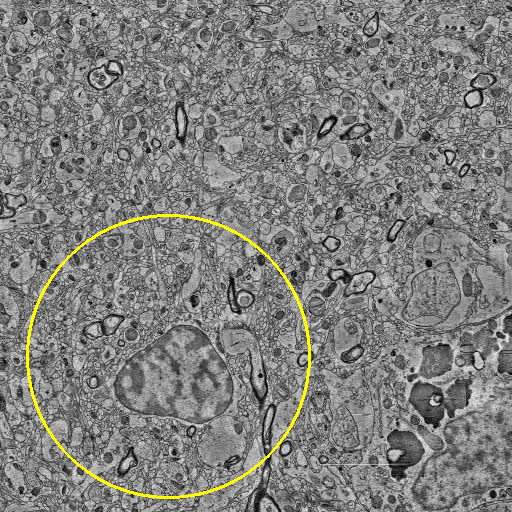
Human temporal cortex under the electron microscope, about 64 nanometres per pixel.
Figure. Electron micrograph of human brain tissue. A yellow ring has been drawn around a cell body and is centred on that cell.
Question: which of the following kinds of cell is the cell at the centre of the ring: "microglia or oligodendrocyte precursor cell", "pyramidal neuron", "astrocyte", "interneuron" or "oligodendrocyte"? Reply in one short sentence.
The cell at the centre of the ring is a microglial cell or oligodendrocyte precursor cell.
